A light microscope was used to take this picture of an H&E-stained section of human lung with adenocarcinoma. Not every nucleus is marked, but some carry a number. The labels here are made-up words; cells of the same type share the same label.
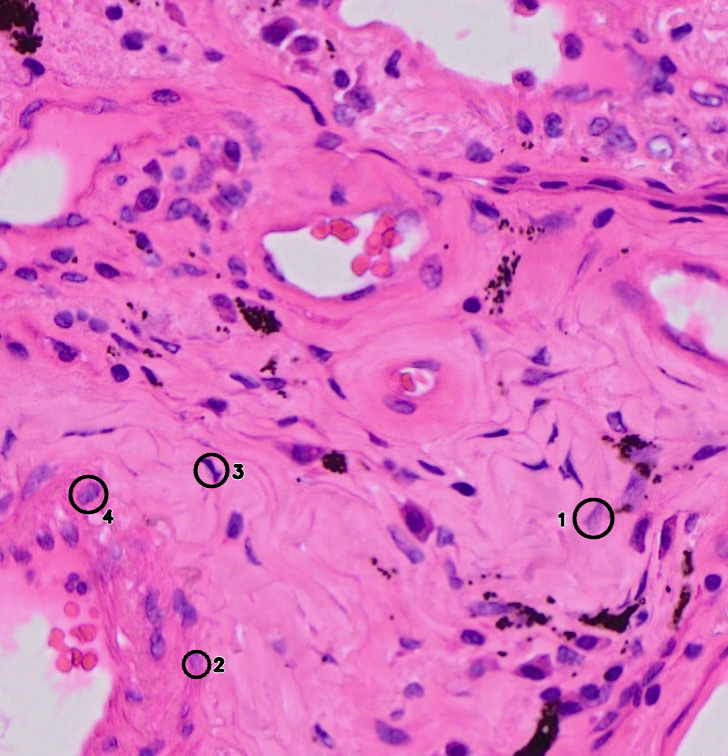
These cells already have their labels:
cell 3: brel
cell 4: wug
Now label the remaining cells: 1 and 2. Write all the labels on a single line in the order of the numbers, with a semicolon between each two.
brel; wug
